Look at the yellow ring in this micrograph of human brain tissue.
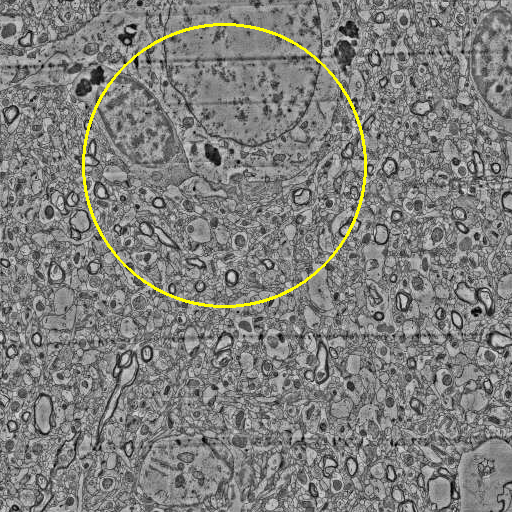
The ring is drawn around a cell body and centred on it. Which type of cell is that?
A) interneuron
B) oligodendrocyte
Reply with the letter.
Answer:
B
